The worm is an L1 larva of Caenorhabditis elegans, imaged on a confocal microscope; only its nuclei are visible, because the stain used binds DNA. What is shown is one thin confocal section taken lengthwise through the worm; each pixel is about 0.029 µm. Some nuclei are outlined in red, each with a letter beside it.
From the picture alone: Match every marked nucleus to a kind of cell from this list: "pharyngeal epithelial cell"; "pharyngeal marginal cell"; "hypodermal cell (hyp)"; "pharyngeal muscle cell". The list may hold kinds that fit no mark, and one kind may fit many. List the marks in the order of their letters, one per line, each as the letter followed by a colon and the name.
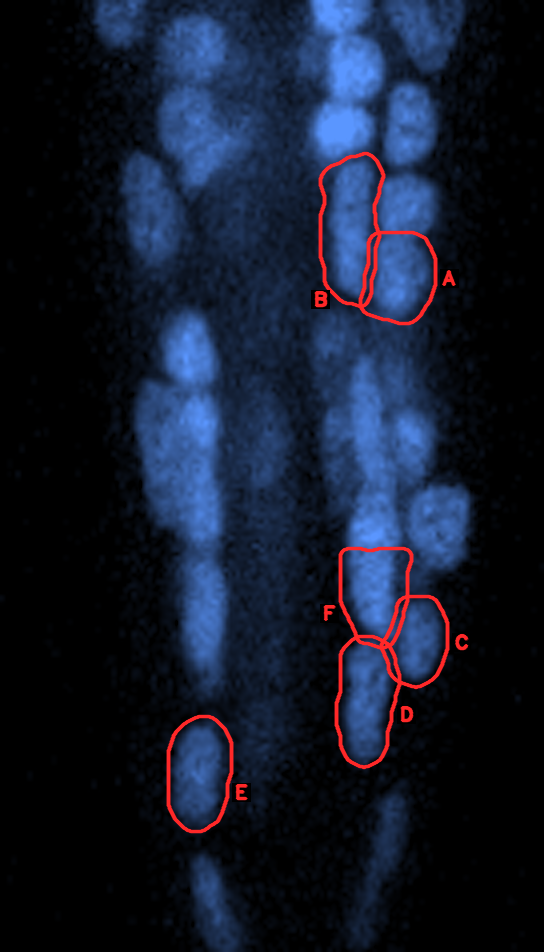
A: hypodermal cell (hyp)
B: pharyngeal epithelial cell
C: hypodermal cell (hyp)
D: pharyngeal epithelial cell
E: hypodermal cell (hyp)
F: pharyngeal muscle cell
